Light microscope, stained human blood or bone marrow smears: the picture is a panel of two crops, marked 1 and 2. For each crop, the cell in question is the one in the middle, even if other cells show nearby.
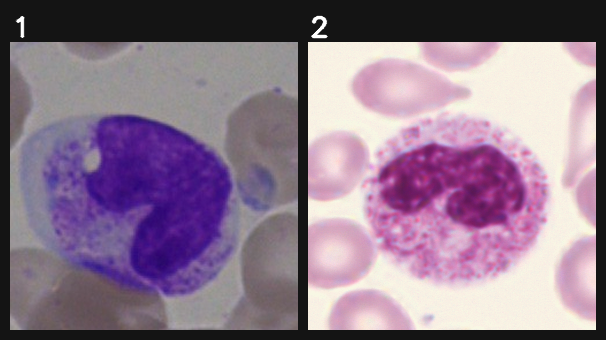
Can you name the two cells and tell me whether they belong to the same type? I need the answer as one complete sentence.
No, crop 1 gives us a metamyelocyte and crop 2 gives us a band neutrophil.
